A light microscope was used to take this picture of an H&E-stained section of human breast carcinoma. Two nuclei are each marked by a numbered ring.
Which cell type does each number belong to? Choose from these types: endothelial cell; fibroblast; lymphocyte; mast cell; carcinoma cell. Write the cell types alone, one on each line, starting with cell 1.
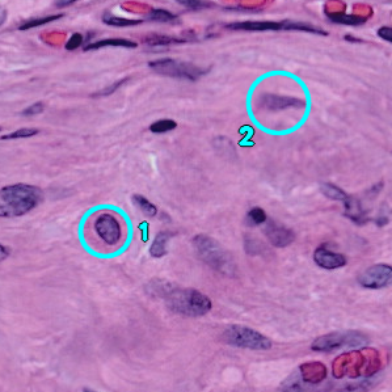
mast cell
fibroblast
